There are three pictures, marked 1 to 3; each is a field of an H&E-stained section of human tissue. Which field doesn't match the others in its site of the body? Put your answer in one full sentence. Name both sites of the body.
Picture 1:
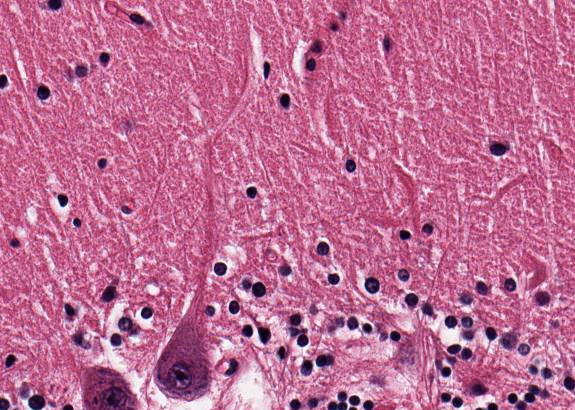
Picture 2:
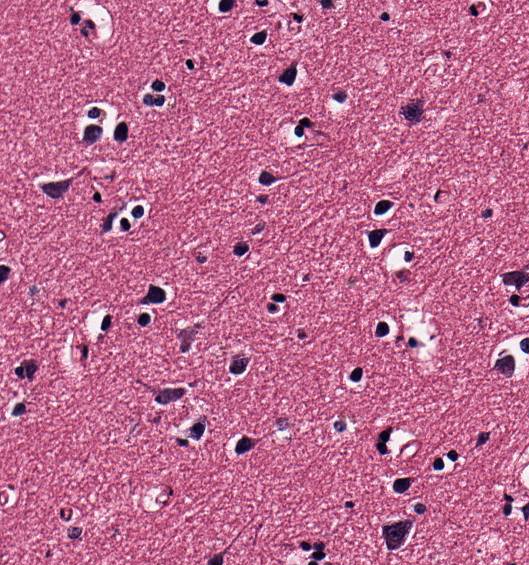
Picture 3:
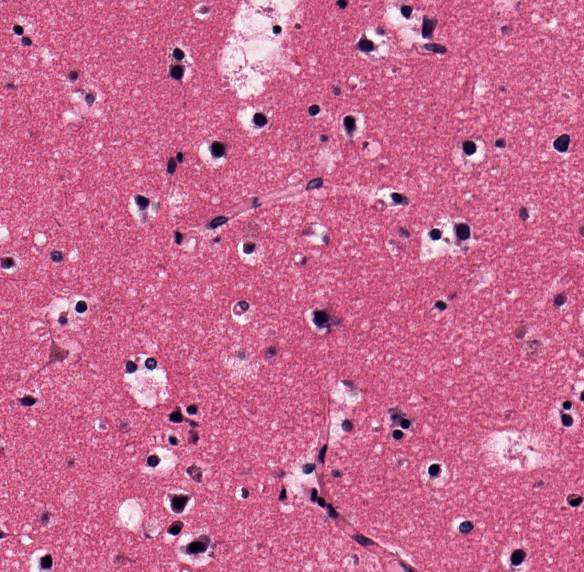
Picture 1 is the odd one out: it comes from the cerebellum, while the others come from the cerebral cortex.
